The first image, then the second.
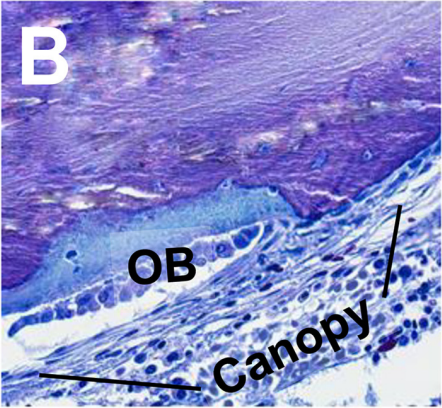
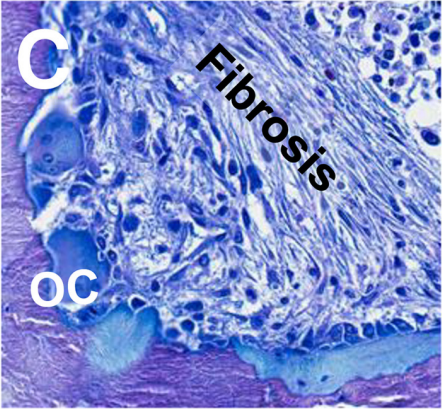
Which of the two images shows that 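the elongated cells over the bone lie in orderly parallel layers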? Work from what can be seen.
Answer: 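First image: flattened cells lie in parallel layers along the bone surface. On this evidence: the first image.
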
